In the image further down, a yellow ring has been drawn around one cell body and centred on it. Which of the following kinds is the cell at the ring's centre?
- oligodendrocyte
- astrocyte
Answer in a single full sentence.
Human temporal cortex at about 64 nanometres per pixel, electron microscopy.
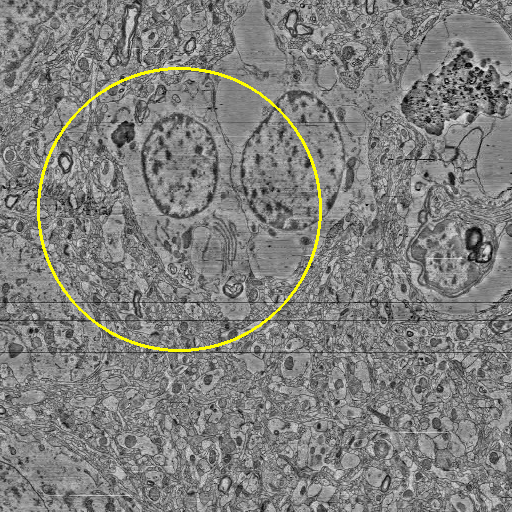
In the picture, the cell sitting at the centre of the yellow ring is an astrocyte.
